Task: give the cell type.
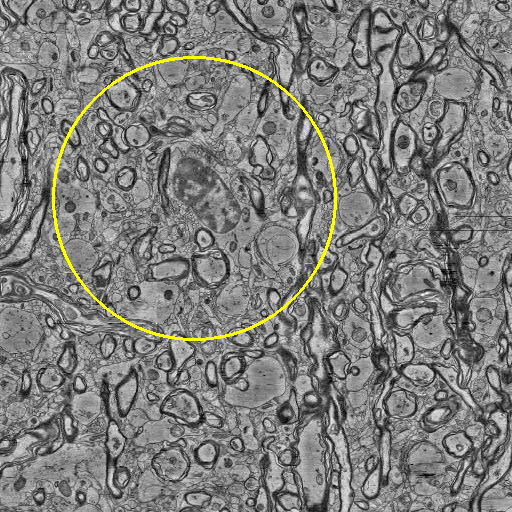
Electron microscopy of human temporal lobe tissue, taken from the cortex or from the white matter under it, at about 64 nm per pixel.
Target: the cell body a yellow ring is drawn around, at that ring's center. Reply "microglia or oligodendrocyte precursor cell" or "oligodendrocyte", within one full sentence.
In this picture, the cell whose body lies at the ring's center is a microglial cell or oligodendrocyte precursor cell.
